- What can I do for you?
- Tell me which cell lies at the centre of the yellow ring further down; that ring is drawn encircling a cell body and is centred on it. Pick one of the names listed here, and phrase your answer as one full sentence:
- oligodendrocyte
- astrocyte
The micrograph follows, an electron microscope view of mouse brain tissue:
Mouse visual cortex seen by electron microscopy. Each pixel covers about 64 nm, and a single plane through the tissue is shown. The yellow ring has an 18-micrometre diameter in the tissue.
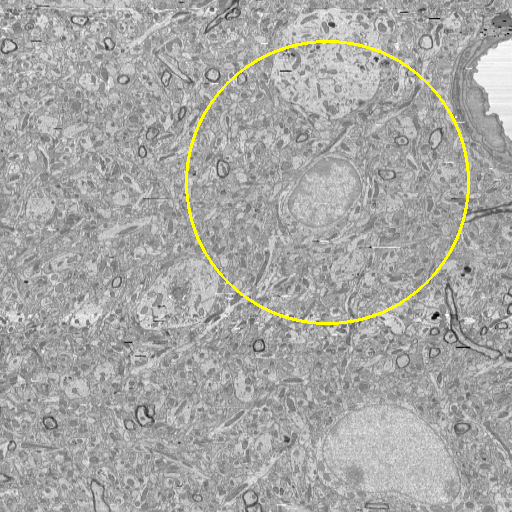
The cell whose body lies at the centre of the yellow ring is an oligodendrocyte.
